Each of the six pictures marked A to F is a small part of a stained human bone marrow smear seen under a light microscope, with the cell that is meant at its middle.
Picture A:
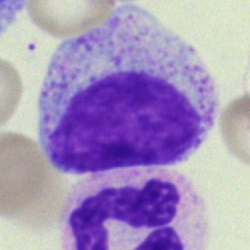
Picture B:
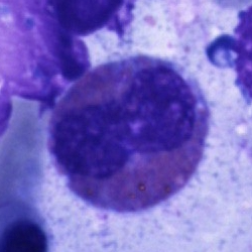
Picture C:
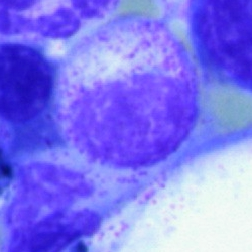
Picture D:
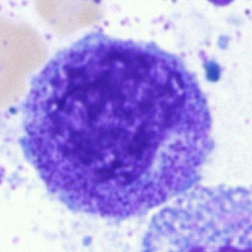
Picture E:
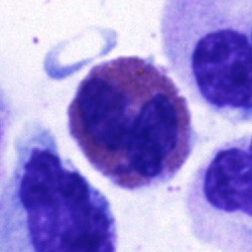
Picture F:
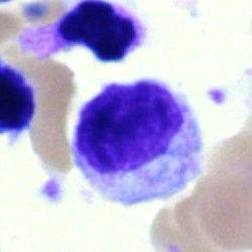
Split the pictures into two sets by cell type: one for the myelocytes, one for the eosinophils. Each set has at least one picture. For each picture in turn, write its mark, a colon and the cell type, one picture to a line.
A: myelocyte
B: eosinophil
C: myelocyte
D: myelocyte
E: eosinophil
F: myelocyte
